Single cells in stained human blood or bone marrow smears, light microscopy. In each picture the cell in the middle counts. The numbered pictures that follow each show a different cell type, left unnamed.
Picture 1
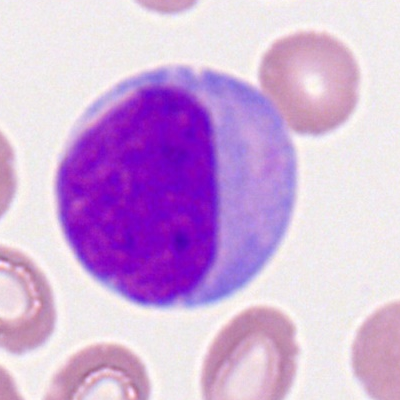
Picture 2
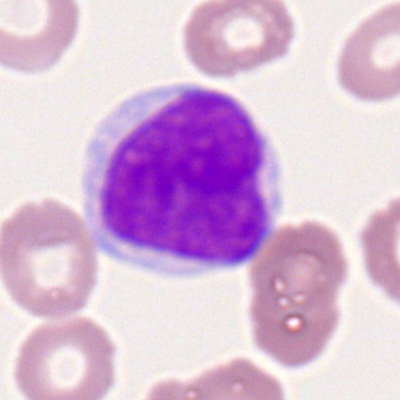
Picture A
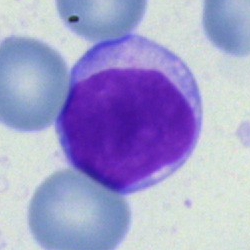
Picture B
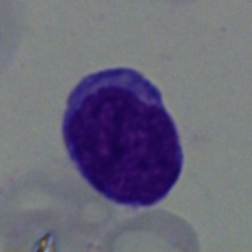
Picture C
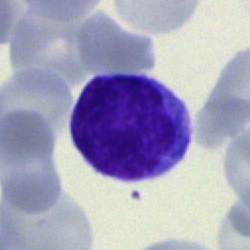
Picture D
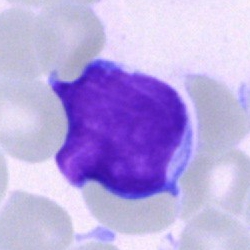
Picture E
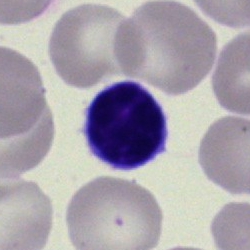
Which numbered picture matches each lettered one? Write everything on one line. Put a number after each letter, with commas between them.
A 2, B 1, C 2, D 1, E 2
